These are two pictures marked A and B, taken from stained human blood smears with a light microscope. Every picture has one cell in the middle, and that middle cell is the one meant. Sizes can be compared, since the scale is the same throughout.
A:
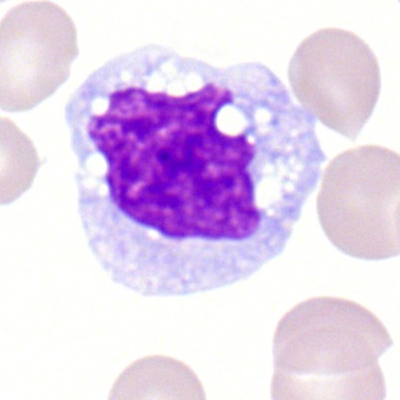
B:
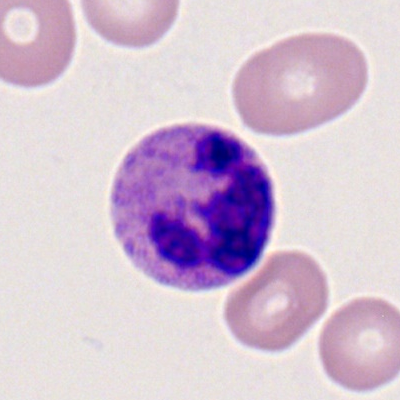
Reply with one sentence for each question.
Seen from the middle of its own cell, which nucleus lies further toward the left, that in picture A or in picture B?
Seen within its cell, the nucleus in picture A lies further toward the left.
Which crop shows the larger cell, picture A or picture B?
Picture A holds the larger cell; it covers about 2 times the area of the cell in picture B.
